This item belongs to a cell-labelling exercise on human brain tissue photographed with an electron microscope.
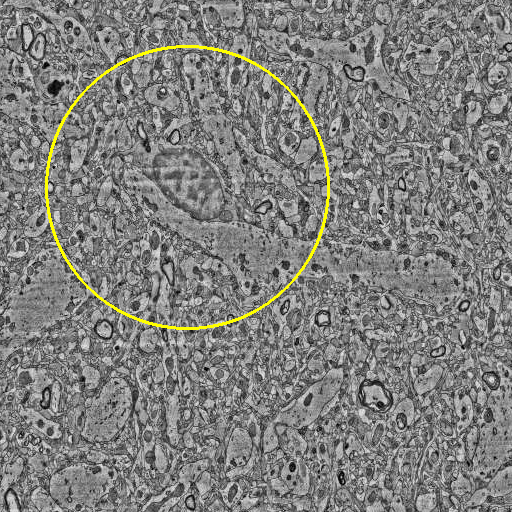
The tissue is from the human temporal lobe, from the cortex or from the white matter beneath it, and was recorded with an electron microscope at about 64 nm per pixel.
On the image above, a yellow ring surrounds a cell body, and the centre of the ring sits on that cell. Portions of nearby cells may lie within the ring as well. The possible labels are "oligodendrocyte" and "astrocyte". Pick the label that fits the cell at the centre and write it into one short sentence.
This cell should be labelled as an oligodendrocyte.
